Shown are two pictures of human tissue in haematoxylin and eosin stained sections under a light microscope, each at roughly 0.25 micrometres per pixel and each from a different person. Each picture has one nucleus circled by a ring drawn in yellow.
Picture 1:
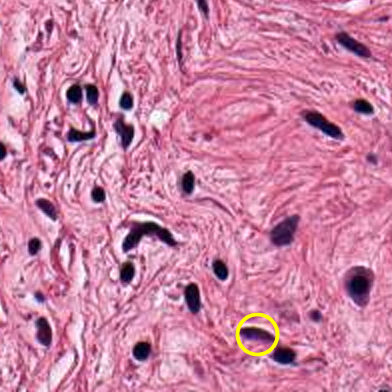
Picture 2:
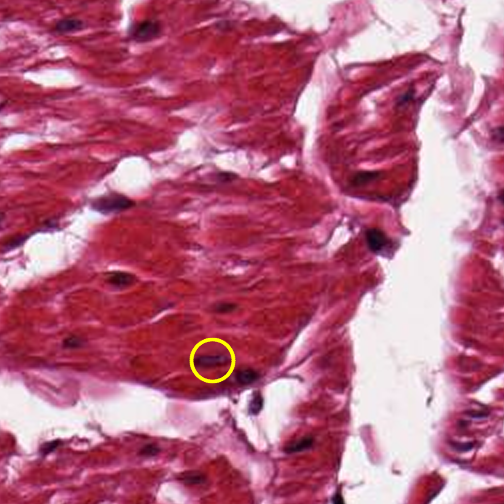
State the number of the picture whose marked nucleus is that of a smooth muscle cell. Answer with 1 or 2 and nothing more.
2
